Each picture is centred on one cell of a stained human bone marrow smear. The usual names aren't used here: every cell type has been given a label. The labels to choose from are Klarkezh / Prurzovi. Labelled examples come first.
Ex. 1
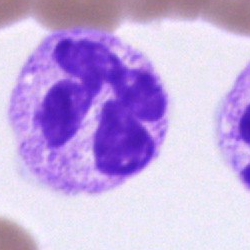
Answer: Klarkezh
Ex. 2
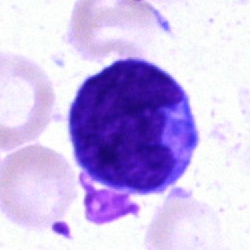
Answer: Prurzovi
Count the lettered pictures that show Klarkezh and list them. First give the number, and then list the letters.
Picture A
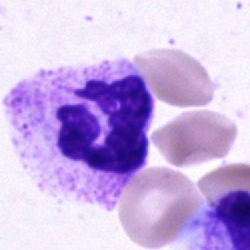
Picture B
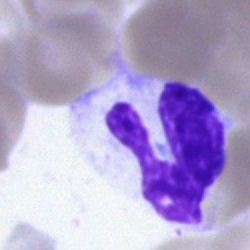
Count: 2 (A, B)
